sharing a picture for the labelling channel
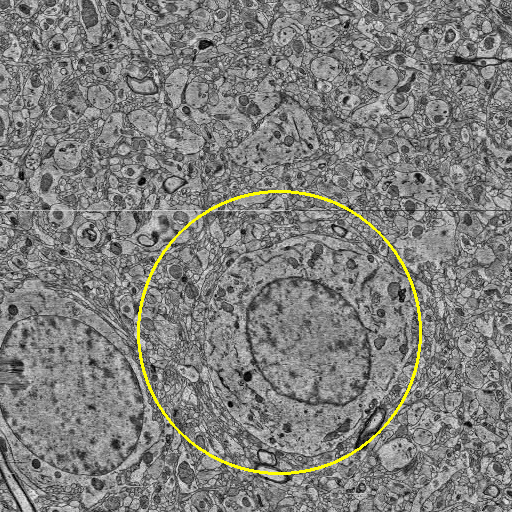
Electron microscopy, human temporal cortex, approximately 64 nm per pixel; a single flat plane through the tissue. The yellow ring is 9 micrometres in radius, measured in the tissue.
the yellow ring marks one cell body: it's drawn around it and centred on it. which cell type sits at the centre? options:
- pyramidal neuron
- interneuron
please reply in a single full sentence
In the picture, the cell at the ring's centre is a pyramidal neuron, going by the list.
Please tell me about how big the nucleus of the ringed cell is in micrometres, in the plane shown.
The nucleus measures about 9 by 7 micrometres in this plane.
